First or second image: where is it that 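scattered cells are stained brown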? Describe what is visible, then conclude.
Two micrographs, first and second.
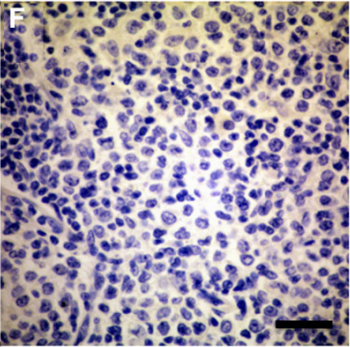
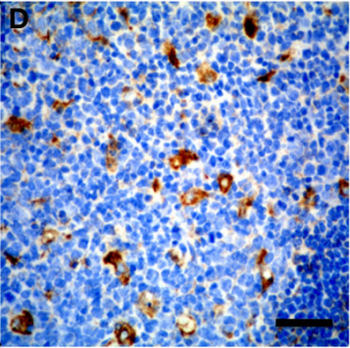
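First image: all cells are blue with no brown stain. Second image: scattered irregular cells are stained dark brown among blue lymphocytes. So: the second image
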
